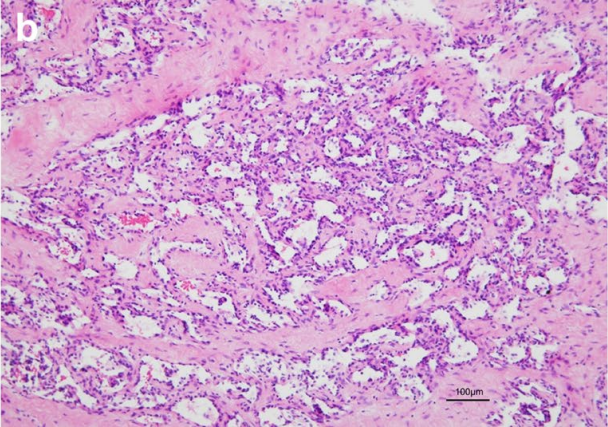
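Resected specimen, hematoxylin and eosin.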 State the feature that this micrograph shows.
abnormal reticular blood vessels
